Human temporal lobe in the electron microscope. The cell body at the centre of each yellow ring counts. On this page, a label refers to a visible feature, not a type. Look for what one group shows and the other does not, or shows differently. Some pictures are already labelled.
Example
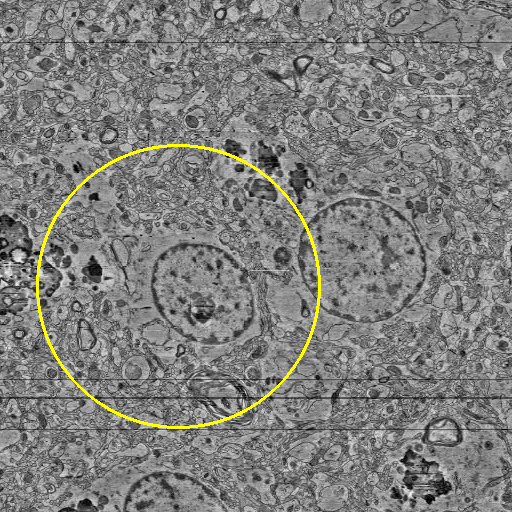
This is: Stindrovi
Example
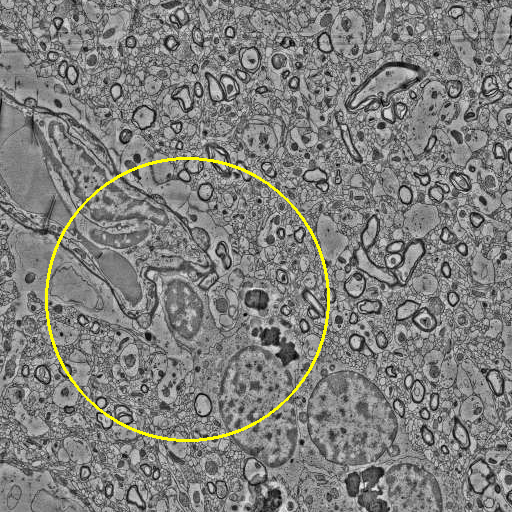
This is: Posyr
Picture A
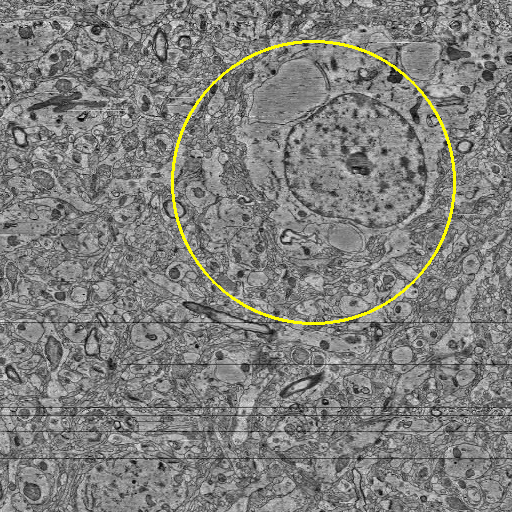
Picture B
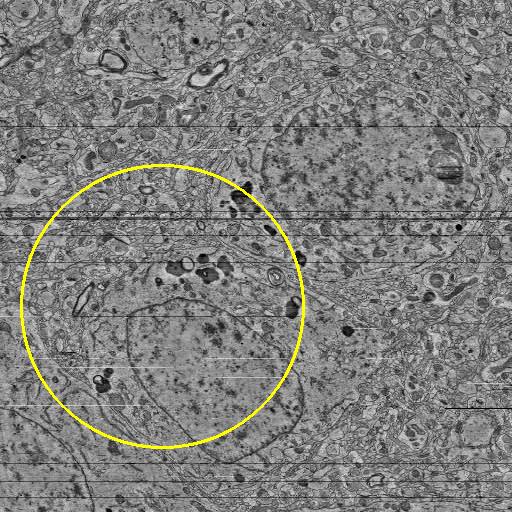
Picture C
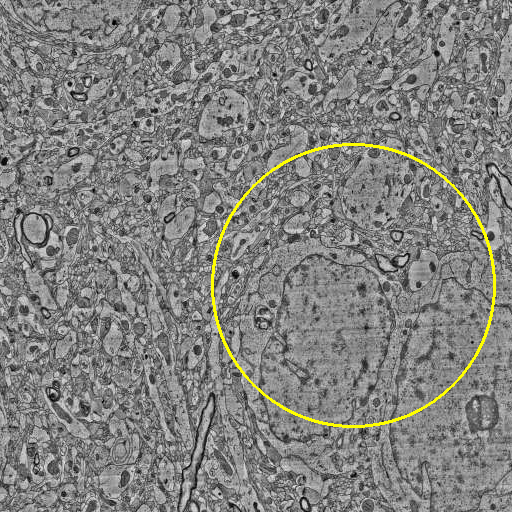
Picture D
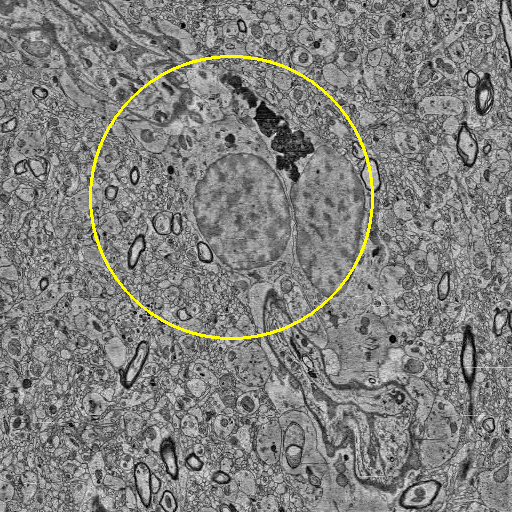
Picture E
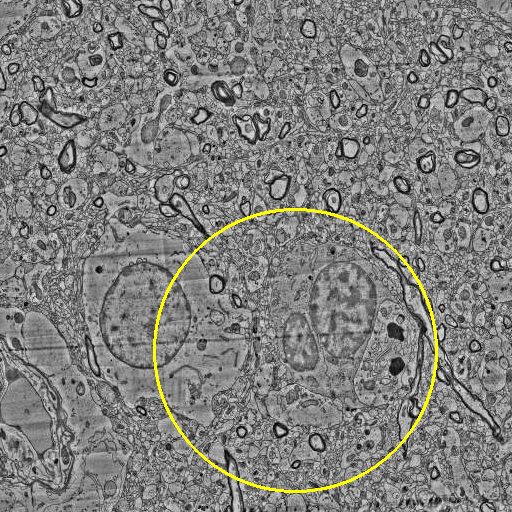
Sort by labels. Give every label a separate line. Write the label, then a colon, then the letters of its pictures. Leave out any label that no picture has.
Stindrovi: A
Posyr: B, C, D, E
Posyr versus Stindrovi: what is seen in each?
Posyr: no nucleolus seen; Stindrovi: nucleolus seen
